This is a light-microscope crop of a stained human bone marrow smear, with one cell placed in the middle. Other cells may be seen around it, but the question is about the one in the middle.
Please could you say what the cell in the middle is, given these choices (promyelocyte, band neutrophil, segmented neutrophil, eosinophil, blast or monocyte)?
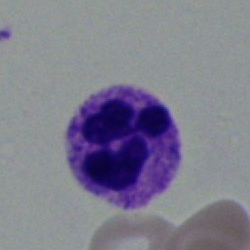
segmented neutrophil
